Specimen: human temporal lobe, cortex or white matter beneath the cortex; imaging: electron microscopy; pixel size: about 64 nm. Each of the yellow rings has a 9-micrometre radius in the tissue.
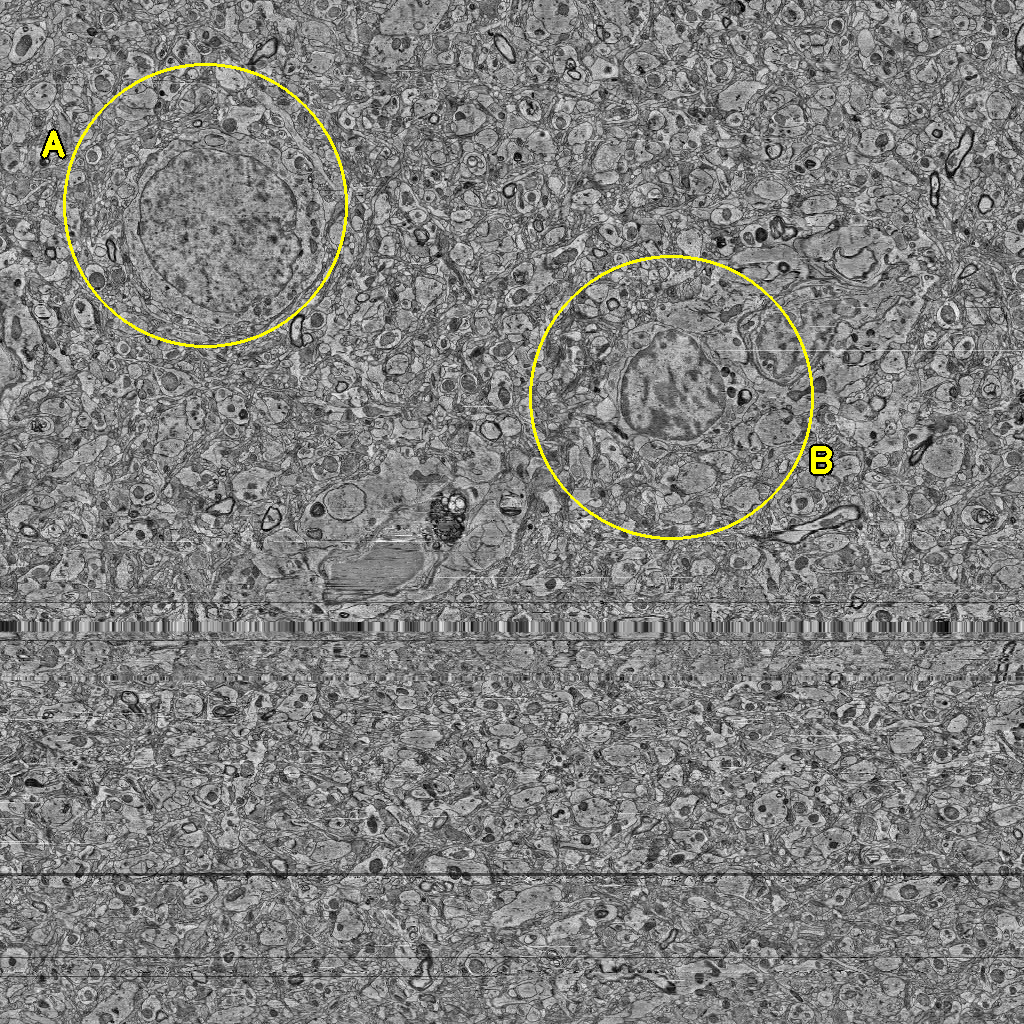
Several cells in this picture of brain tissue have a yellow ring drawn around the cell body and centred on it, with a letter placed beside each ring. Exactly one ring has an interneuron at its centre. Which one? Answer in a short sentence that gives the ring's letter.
Ring A is centred on it.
